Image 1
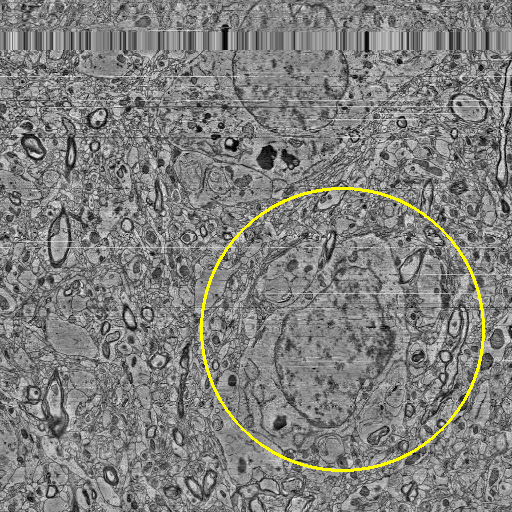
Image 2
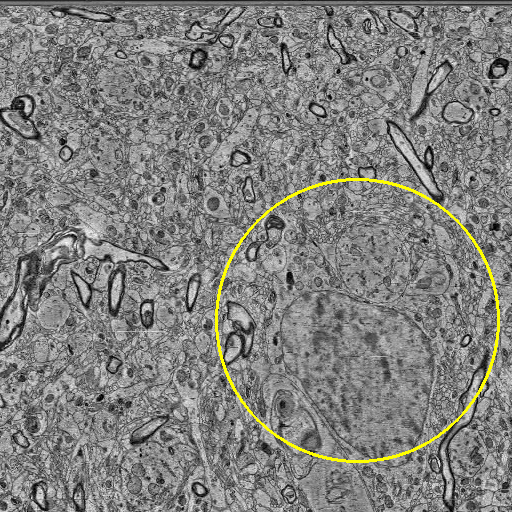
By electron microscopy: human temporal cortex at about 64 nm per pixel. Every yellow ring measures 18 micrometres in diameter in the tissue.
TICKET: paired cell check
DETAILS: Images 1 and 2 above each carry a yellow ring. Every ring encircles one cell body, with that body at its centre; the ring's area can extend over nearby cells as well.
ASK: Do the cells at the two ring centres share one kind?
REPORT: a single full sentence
Yes, the ring-centre cells of Images 1 and 2 belong to a single kind.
